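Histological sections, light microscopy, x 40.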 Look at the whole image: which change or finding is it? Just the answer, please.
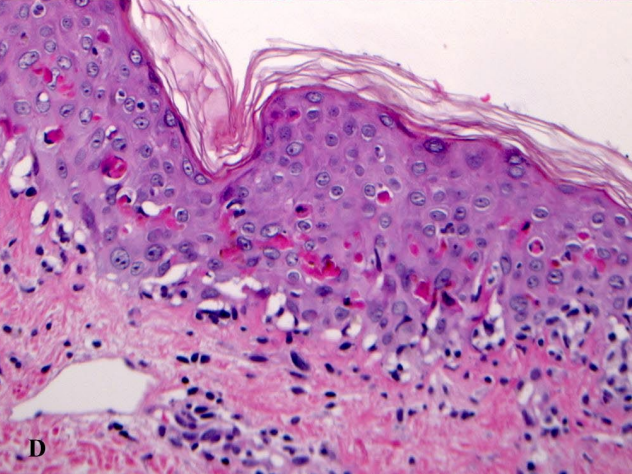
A: necrosis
